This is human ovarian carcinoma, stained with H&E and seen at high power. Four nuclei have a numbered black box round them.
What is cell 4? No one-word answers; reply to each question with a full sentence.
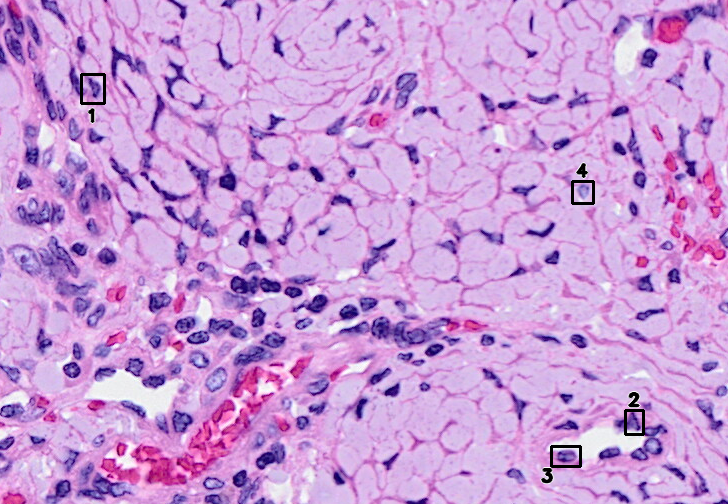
The cell assigned the number 4 is a macrophage or monocyte.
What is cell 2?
The mark numbered 2 indicates the nucleus of an endothelial cell.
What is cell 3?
The cell bearing label 3 corresponds to an endothelial cell.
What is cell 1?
The marked nucleus 1 is that of a fibroblast.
